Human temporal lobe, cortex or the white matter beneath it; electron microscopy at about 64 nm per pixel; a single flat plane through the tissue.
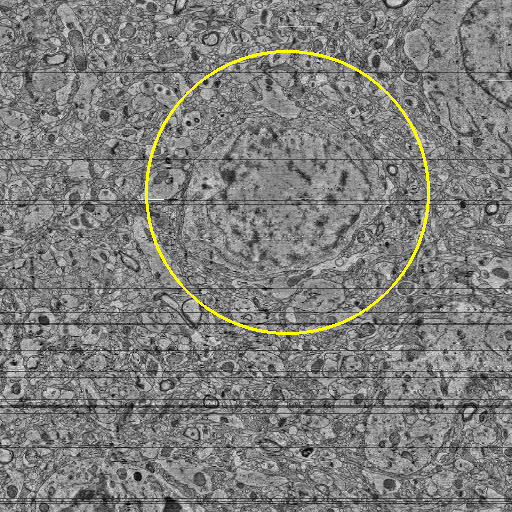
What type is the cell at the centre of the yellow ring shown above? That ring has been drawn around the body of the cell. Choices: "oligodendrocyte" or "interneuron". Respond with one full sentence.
My answer is that an interneuron lies at the centre of the yellow ring above.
